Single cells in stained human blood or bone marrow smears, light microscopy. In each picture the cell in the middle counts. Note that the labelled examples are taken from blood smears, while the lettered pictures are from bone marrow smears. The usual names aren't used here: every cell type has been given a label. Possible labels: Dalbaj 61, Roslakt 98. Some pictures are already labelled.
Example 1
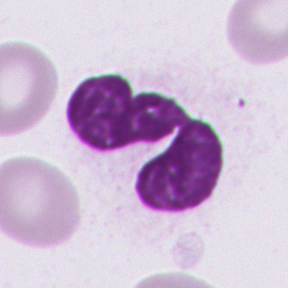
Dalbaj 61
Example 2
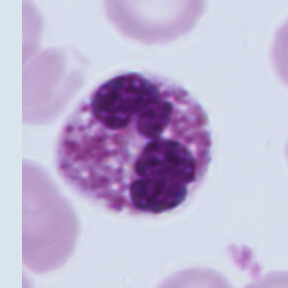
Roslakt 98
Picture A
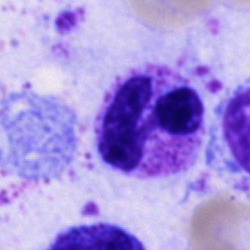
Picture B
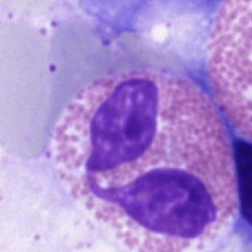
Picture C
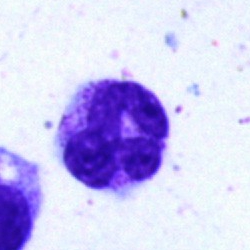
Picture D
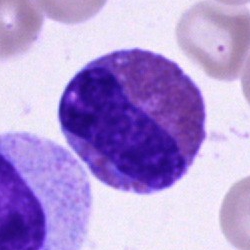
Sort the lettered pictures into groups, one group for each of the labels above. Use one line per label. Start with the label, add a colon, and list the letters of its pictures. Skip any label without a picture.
Dalbaj 61: A, C
Roslakt 98: B, D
